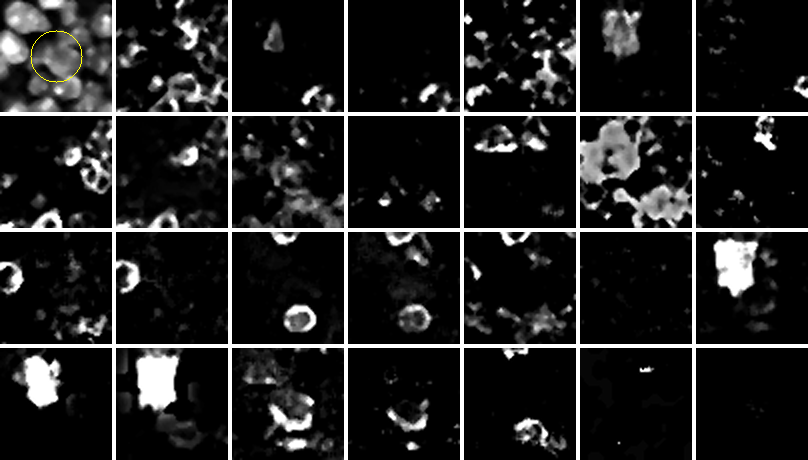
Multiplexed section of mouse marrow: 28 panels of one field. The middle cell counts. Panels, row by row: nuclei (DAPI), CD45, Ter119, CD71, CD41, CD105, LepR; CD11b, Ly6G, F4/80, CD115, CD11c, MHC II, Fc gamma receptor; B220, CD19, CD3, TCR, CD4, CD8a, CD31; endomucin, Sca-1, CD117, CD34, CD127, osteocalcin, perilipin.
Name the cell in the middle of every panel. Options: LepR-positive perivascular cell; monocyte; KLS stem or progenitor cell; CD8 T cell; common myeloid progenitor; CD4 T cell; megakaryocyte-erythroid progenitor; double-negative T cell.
KLS stem or progenitor cell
